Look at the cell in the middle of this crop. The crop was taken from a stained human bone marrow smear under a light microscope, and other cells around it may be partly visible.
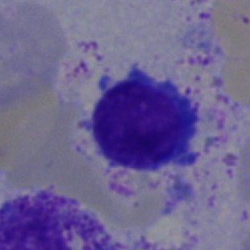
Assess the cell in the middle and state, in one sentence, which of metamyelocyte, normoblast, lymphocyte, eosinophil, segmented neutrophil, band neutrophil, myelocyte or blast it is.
What the crop centres on is a lymphocyte.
